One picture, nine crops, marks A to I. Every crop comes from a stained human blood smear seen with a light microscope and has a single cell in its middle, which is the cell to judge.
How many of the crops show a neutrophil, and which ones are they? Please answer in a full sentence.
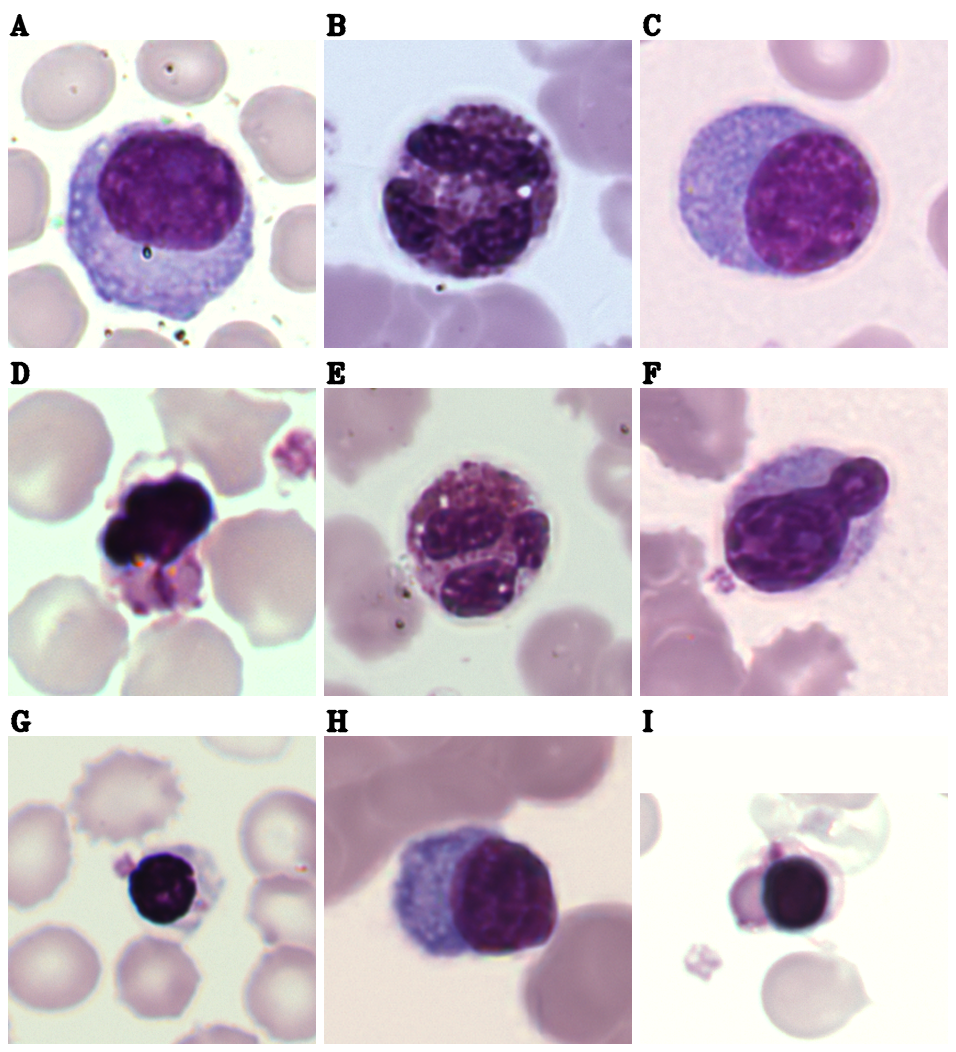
There are no neutrophils in any of the crops, so the count is zero.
